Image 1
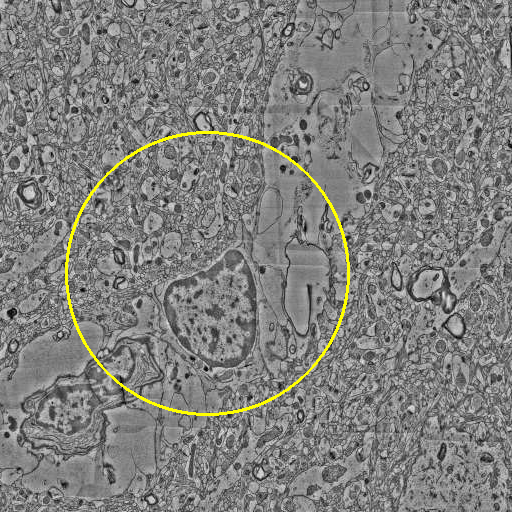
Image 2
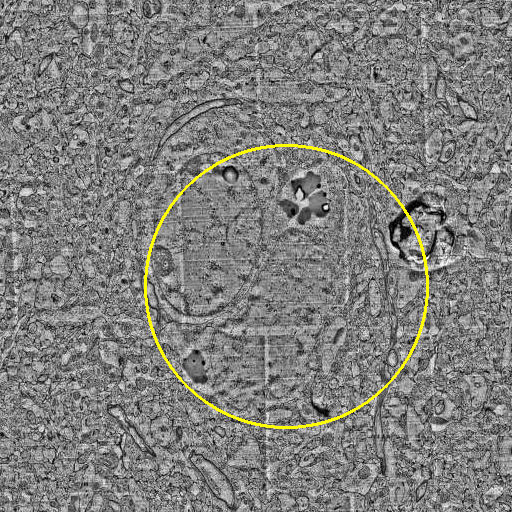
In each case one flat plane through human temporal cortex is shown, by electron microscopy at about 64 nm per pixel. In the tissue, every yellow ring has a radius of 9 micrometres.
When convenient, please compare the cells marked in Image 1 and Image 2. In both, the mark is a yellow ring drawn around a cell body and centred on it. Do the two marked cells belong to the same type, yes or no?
no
